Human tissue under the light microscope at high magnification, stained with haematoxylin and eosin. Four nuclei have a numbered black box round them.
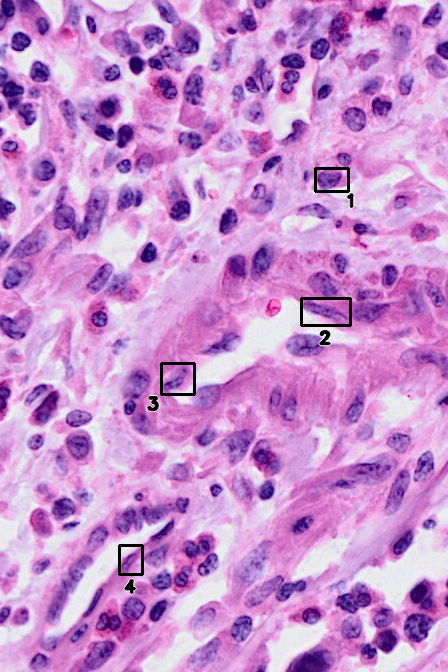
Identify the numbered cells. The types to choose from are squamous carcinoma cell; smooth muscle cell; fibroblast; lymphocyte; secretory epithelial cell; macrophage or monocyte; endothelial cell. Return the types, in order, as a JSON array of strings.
["macrophage or monocyte", "endothelial cell", "endothelial cell", "endothelial cell"]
